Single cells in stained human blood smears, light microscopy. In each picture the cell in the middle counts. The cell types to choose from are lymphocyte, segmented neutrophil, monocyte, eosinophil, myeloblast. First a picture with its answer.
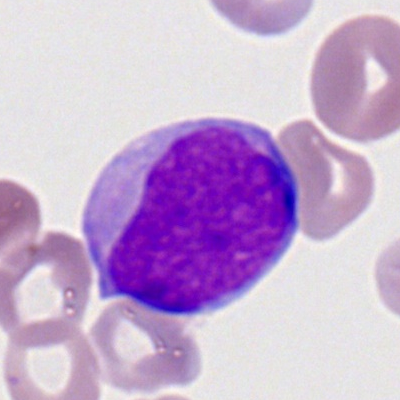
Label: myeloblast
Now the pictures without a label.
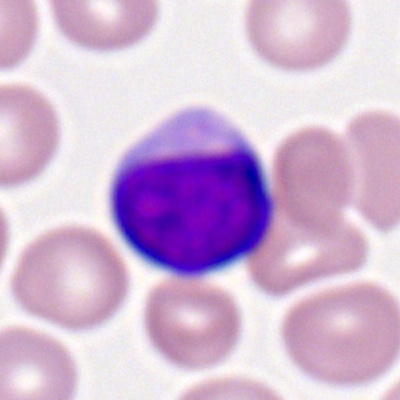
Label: lymphocyte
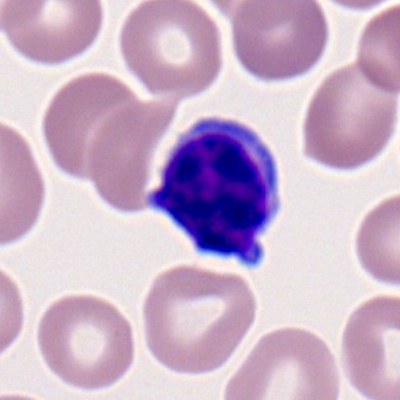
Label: lymphocyte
